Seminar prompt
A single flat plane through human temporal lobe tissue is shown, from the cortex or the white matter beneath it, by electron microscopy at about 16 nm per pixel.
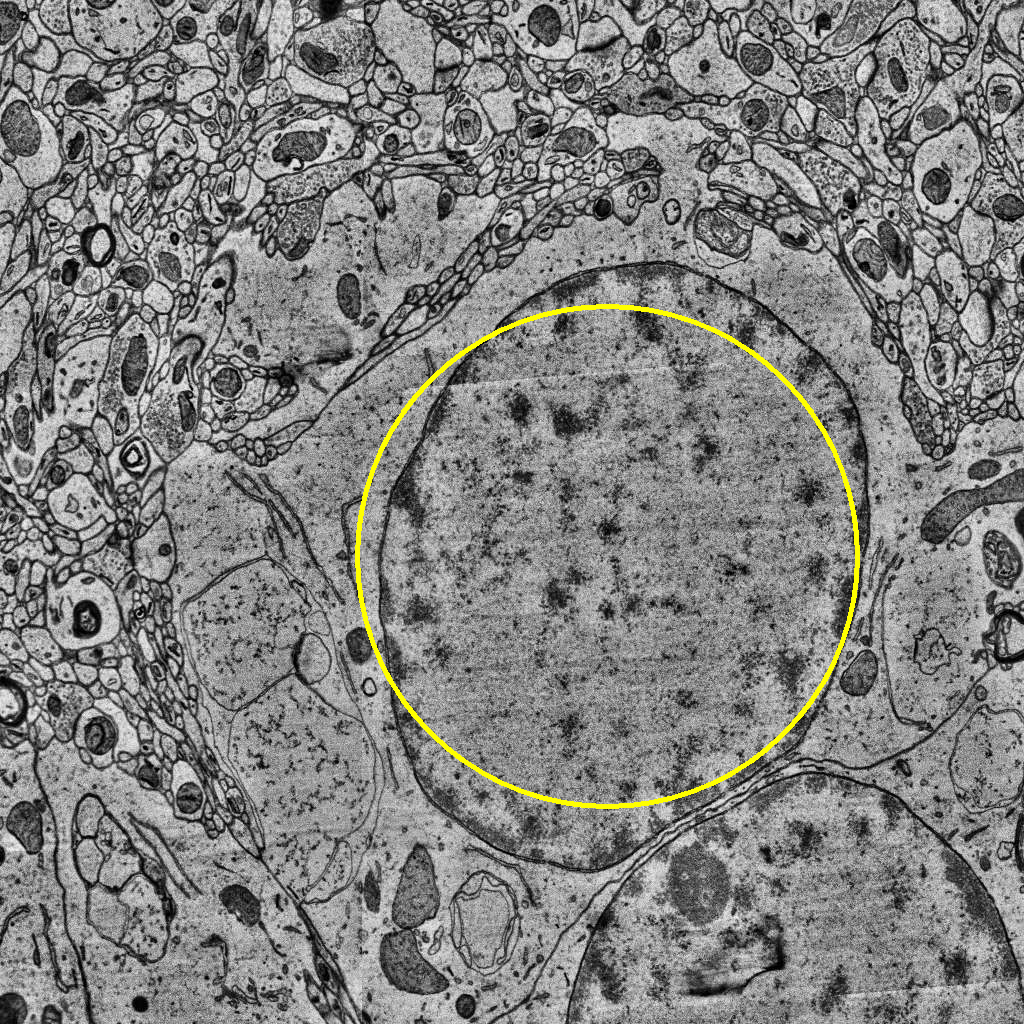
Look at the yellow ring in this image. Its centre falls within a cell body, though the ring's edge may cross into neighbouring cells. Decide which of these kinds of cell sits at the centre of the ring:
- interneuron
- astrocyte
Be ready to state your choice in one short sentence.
The kind of cell at the ring's centre is an astrocyte.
